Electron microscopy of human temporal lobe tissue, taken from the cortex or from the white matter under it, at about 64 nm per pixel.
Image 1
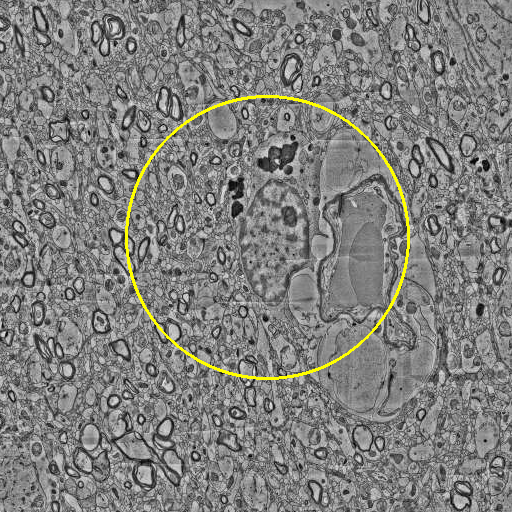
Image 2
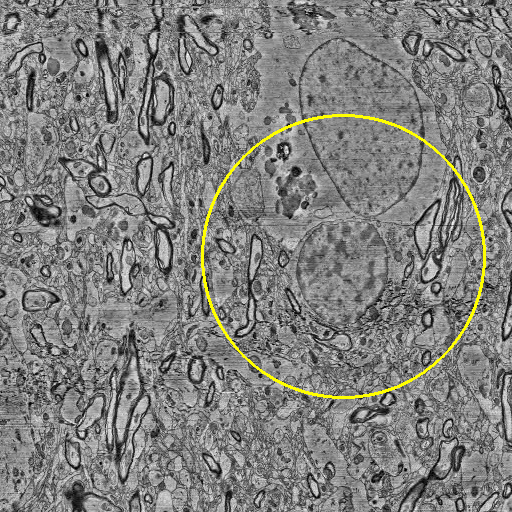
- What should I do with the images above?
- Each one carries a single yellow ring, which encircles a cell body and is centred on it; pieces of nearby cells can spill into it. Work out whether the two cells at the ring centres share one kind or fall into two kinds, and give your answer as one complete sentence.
The ring-centre cells of Image 1 and Image 2 share one kind.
